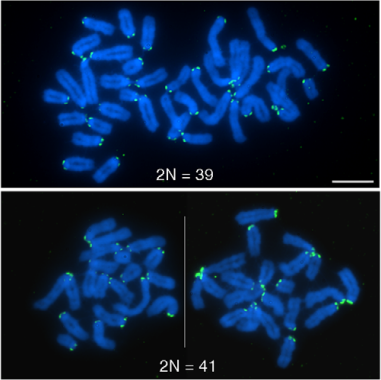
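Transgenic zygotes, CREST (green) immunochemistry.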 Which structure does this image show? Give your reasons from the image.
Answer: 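Many separate rod-shaped blue chromosomes lie spread out flat. Each chromosome carries a green dot pair at one end. The answer: chromosome spreads.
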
